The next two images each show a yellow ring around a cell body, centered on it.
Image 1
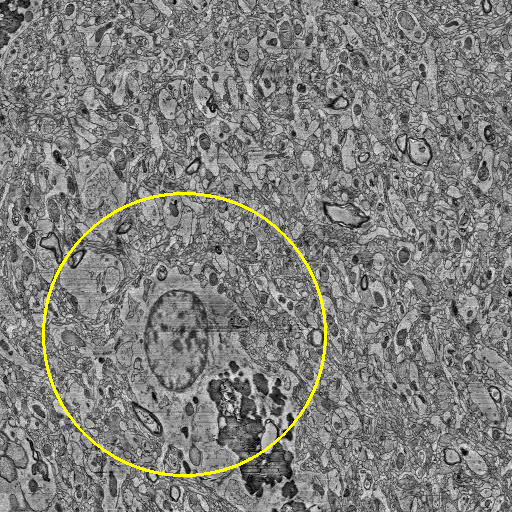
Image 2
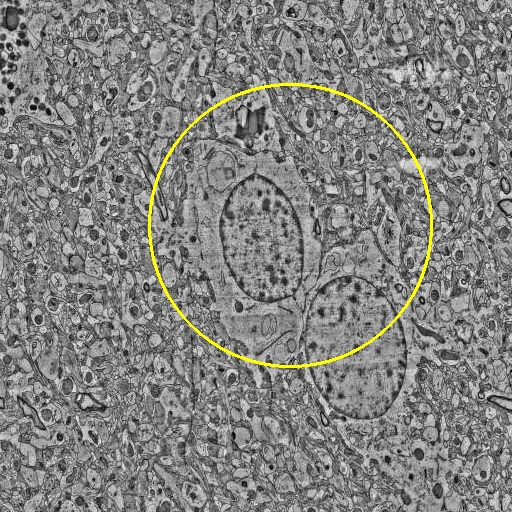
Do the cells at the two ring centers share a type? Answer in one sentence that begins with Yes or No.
Yes, across the two images the cells at the ring centers share one type.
